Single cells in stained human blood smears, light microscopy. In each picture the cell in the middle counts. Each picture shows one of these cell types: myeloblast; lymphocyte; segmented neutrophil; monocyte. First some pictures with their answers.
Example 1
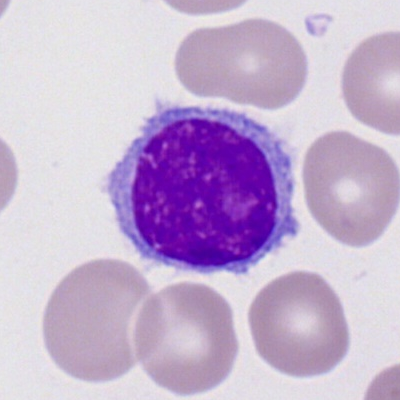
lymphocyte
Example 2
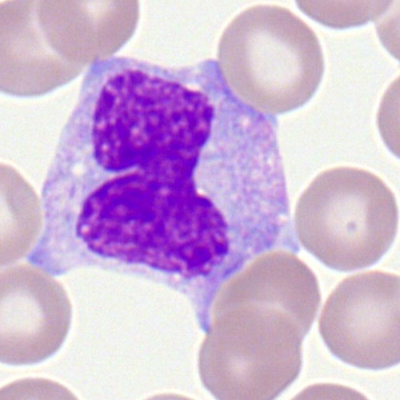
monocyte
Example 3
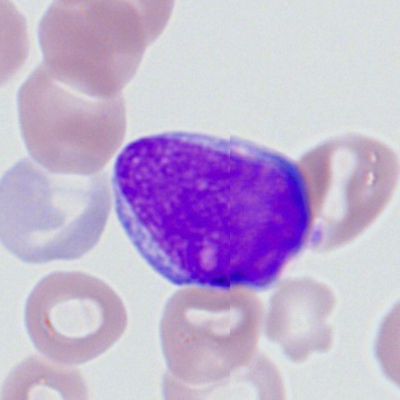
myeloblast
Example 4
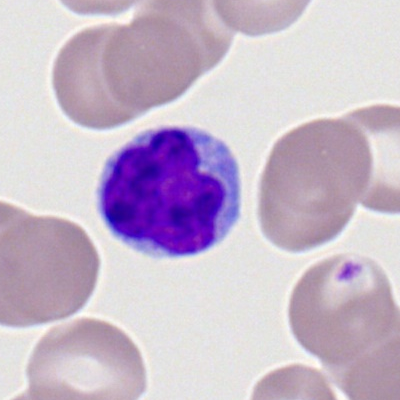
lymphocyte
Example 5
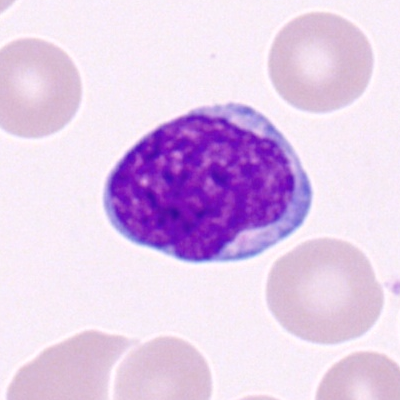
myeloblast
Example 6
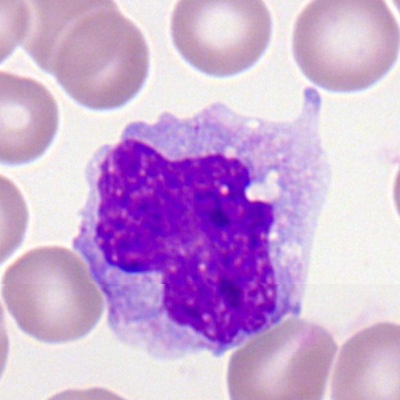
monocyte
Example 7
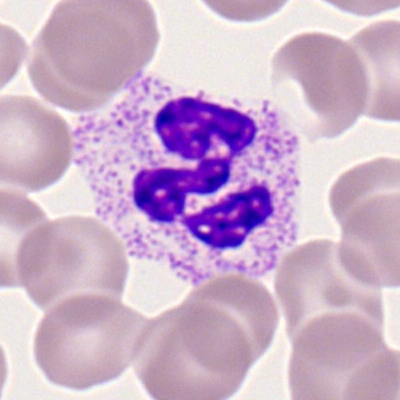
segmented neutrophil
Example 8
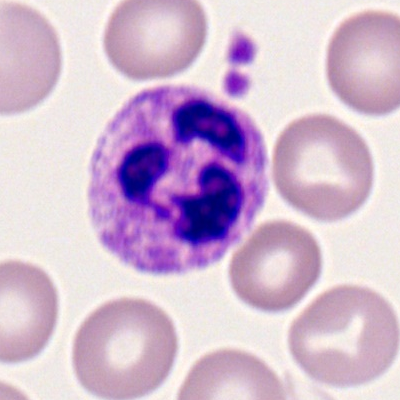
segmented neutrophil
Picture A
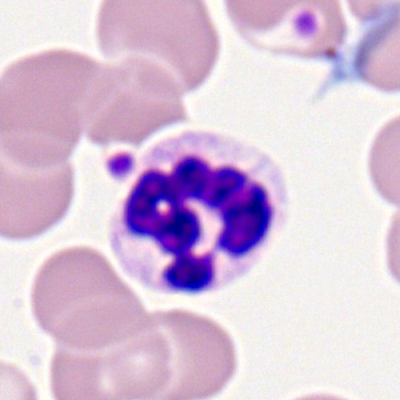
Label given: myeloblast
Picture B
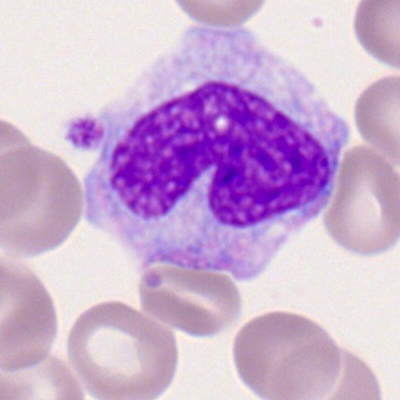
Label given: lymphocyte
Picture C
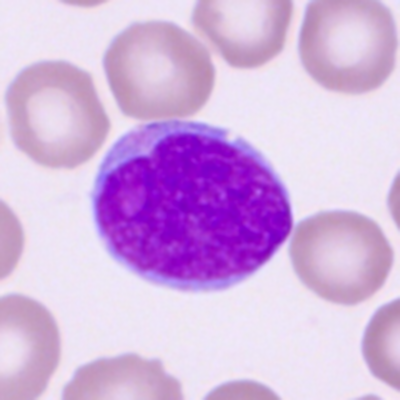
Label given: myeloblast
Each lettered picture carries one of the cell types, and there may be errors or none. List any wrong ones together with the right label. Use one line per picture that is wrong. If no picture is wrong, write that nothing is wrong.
A: change myeloblast to segmented neutrophil
B: change lymphocyte to monocyte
